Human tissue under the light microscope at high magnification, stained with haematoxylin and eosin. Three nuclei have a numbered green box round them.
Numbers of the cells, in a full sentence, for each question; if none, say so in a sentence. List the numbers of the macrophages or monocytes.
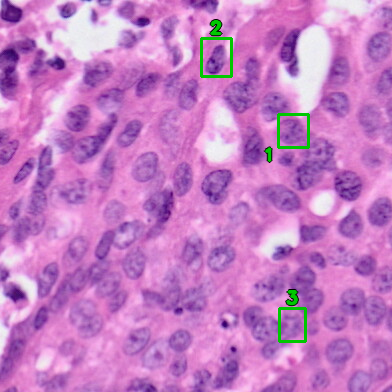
Of all the numbered cells, only one is a macrophage or monocyte, and that is cell 2.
